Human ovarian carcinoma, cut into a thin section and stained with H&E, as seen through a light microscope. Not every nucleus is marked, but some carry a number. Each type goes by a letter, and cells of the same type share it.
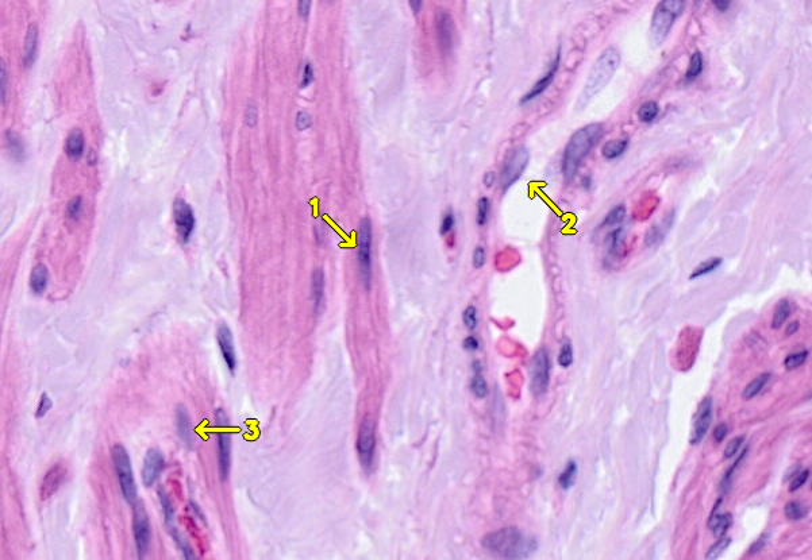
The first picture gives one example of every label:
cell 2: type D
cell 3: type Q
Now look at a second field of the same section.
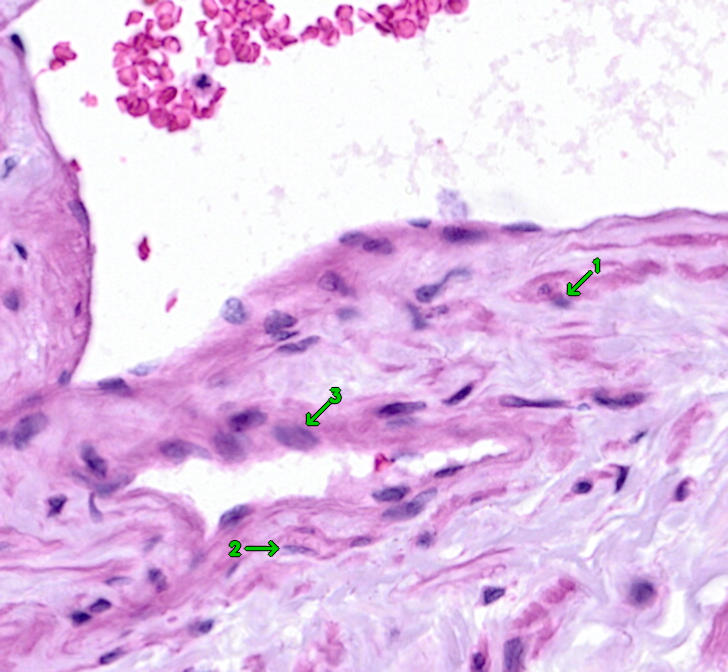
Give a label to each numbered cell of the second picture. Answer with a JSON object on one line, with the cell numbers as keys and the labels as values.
{"1": "type Q", "2": "type Q", "3": "type D"}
